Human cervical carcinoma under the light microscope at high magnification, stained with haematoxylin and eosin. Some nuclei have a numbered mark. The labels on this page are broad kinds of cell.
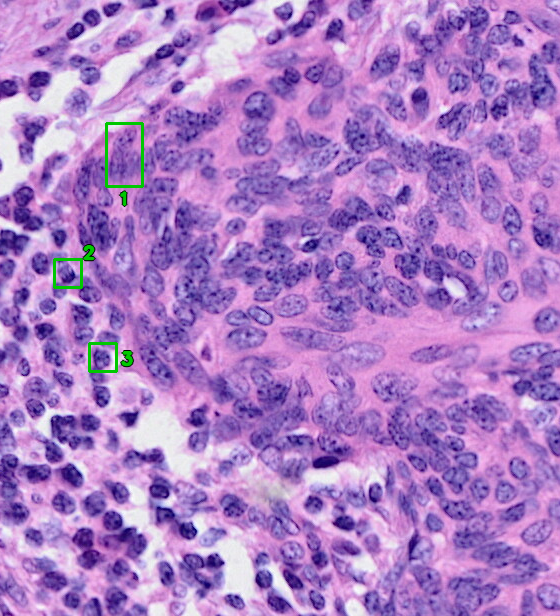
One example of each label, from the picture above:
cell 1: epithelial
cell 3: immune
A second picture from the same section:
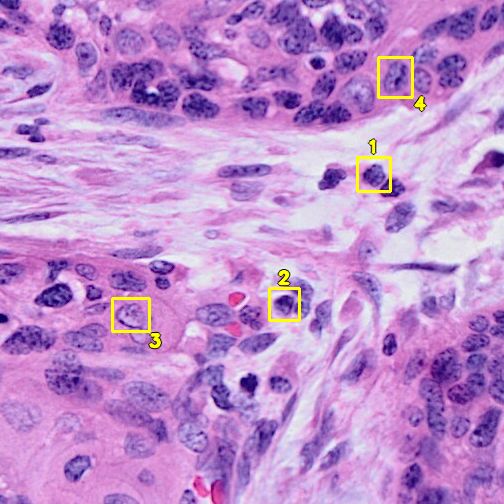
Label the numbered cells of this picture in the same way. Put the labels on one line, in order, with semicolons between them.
immune; immune; epithelial; epithelial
